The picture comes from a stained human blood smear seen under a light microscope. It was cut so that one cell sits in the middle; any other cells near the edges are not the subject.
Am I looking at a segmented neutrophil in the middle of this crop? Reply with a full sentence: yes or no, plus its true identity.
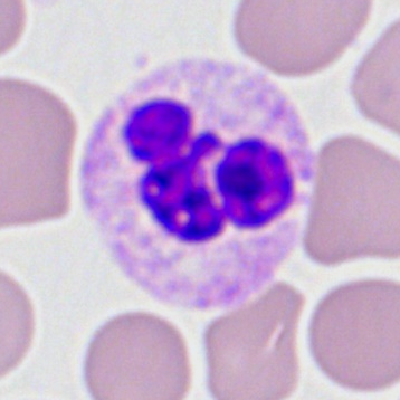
Yes, what sits in the centre of the crop is a segmented neutrophil.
